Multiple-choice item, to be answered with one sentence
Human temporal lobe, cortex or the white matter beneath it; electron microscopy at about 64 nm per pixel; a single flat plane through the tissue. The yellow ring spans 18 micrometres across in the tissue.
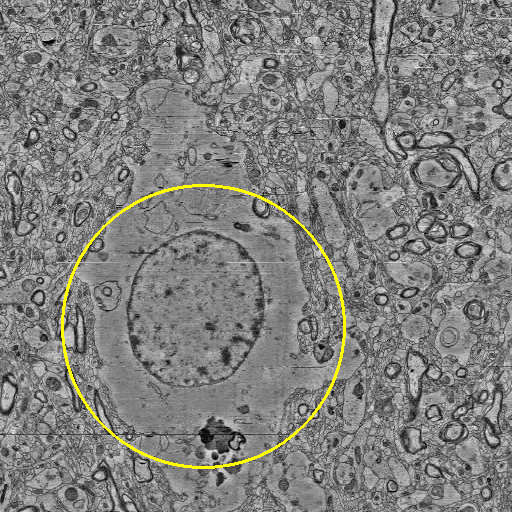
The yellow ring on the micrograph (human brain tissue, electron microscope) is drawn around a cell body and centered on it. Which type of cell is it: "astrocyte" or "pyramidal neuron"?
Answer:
The ring is centered on an astrocyte.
